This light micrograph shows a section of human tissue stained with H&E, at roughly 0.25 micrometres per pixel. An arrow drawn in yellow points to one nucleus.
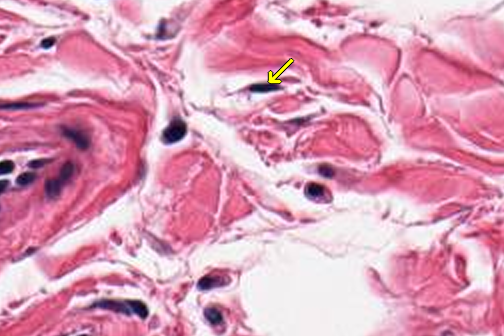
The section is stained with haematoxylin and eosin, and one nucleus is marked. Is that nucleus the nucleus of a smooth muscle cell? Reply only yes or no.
no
